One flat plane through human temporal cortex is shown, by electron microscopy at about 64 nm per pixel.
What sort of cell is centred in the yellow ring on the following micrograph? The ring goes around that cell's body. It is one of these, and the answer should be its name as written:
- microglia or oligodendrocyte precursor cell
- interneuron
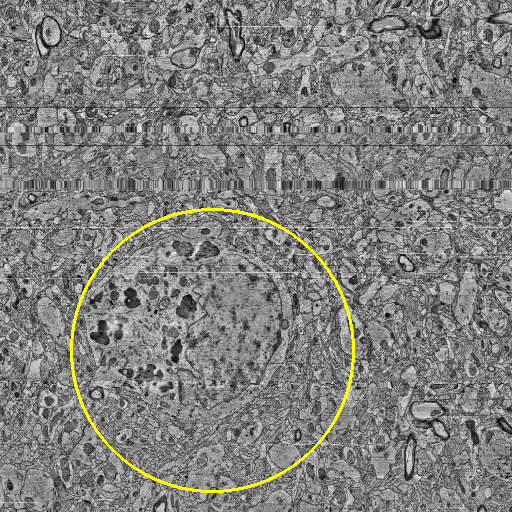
interneuron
